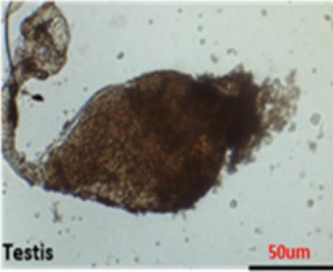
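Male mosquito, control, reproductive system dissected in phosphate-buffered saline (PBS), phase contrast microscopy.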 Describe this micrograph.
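At the broad right end loose dark material spills out beyond the outline. A thin, translucent wall bounds the dense mass.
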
